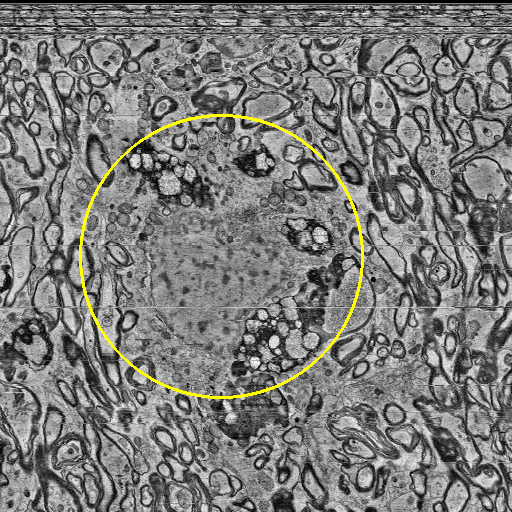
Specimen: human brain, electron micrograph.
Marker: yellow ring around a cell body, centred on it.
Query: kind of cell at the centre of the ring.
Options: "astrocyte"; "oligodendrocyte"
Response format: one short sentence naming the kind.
This cell body belongs to an astrocyte.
